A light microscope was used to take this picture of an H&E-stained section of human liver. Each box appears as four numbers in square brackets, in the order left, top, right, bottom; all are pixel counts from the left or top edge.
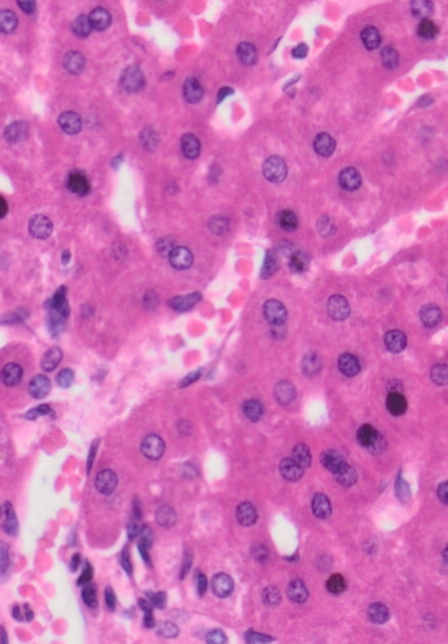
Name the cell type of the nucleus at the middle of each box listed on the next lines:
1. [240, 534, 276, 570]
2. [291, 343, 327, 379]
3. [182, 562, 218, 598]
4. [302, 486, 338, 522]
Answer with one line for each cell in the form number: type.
1: hepatocyte
2: hepatocyte
3: fibroblast or stellate cell
4: hepatocyte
